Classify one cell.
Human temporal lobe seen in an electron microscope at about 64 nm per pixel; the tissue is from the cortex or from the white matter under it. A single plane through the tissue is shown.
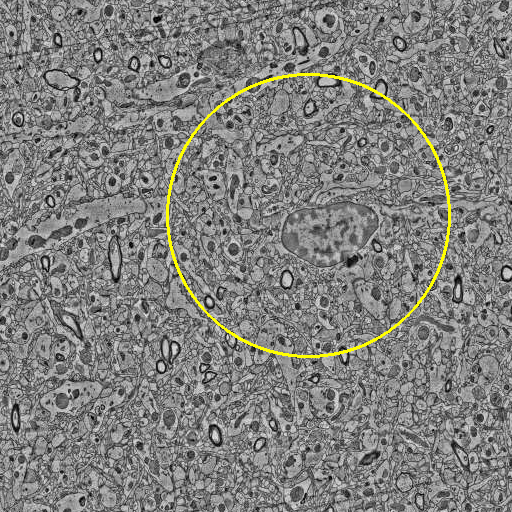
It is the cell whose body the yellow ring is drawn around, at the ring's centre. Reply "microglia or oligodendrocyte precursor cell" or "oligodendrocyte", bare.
microglia or oligodendrocyte precursor cell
